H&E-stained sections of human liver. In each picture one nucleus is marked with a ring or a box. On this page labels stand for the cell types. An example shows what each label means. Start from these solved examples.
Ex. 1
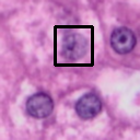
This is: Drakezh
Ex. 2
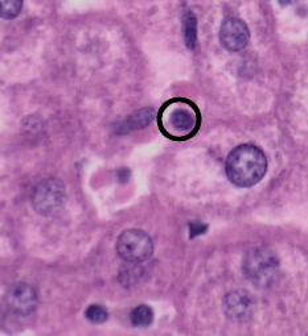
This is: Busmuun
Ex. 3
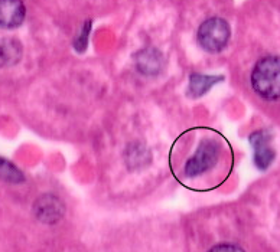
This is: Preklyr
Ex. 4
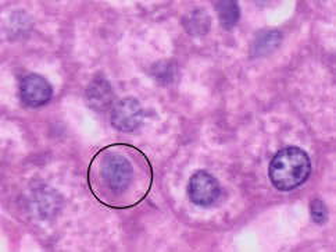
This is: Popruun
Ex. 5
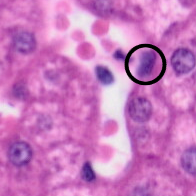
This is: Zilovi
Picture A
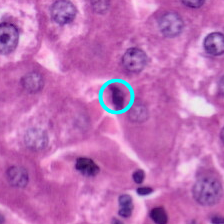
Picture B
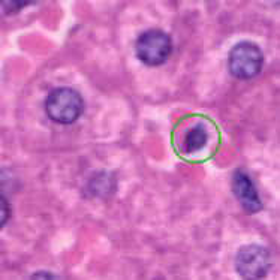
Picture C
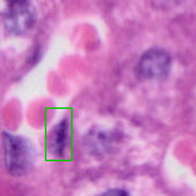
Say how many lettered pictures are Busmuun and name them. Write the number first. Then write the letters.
1, namely B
